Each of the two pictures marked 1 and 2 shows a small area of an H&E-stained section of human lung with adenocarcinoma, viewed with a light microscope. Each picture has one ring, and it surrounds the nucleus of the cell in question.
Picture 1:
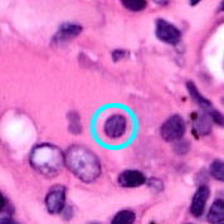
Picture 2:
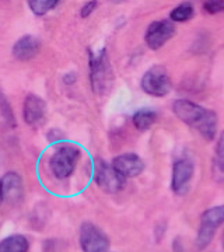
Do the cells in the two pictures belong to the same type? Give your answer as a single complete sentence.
Yes, they are the same type: both are lymphocytes.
